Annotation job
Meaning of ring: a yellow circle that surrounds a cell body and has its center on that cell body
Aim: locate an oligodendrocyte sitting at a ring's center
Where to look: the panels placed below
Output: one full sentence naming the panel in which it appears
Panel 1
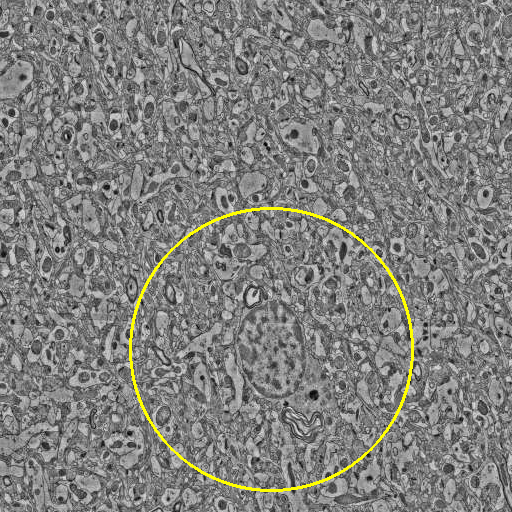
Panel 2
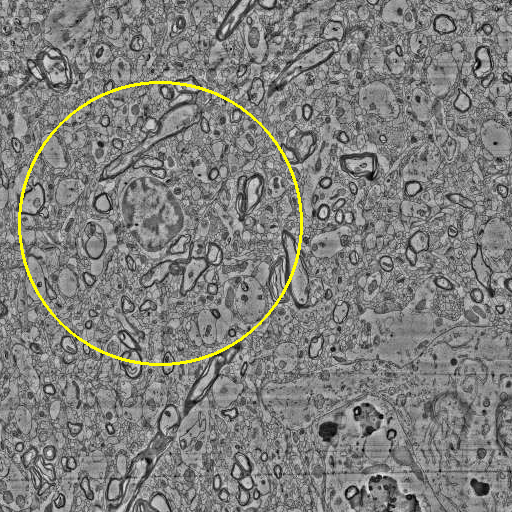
The cell at the center of the ring in panel 1 is the one sought.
